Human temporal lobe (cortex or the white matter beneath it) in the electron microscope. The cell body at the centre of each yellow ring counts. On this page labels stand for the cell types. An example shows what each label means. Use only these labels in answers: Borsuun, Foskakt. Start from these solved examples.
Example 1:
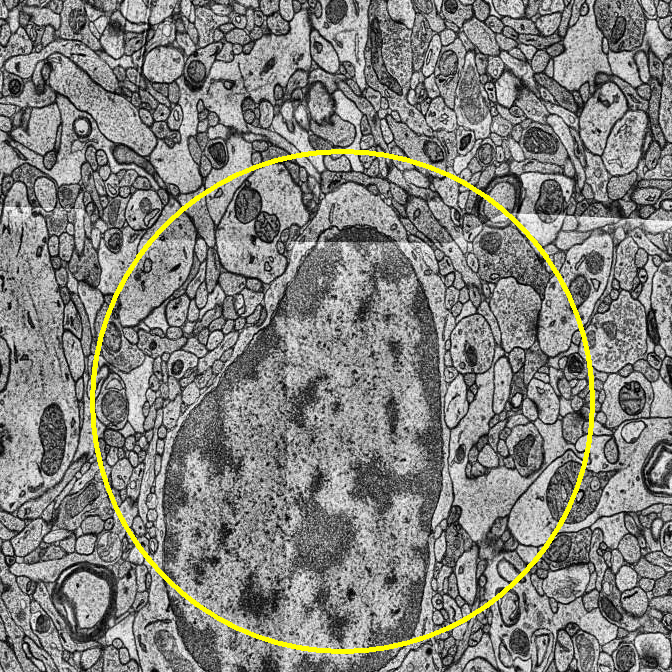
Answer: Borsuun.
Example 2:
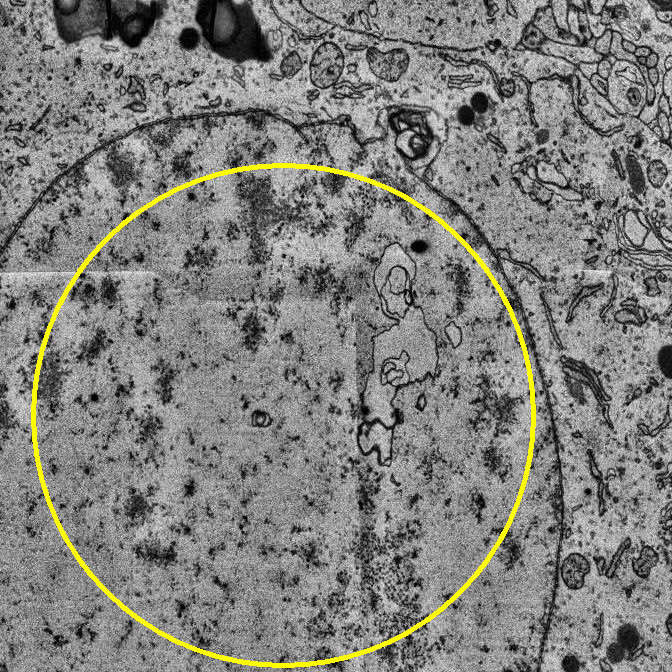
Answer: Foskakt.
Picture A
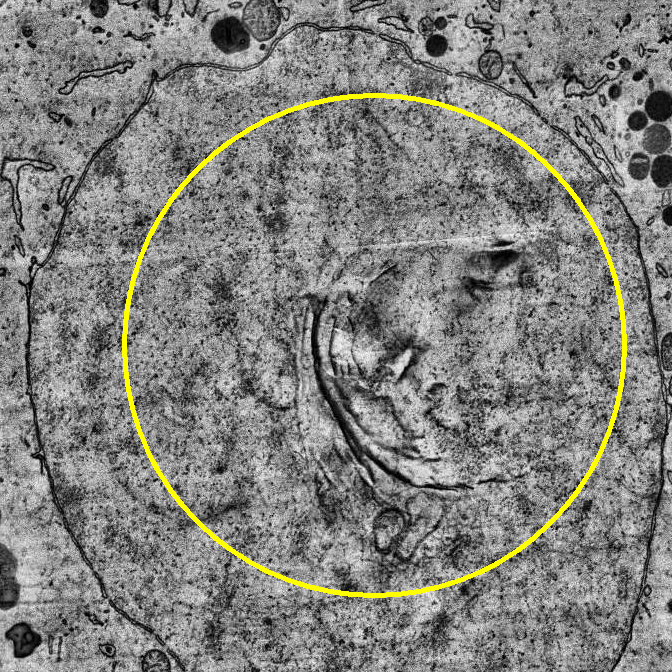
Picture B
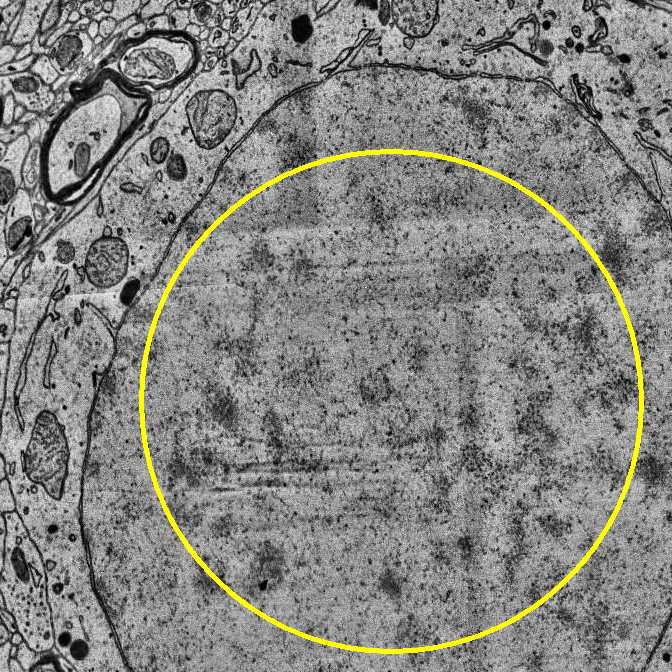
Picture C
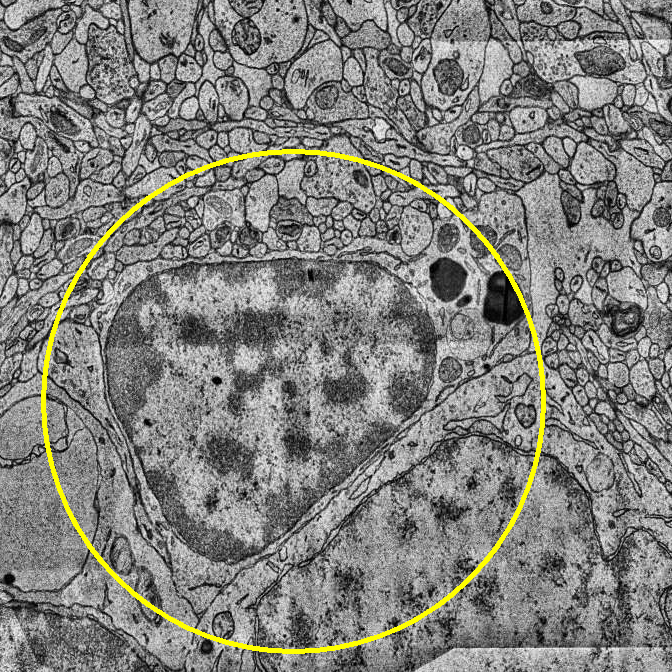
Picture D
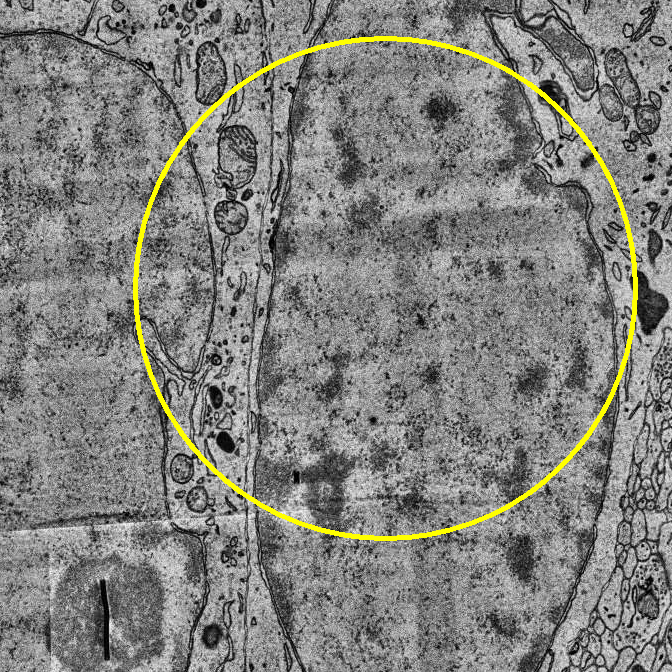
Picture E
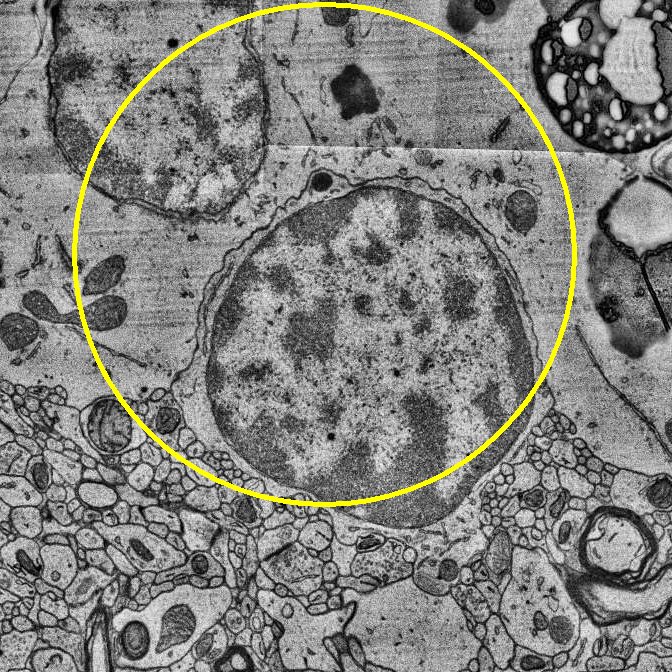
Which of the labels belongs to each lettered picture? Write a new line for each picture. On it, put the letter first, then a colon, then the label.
A: Foskakt.
B: Foskakt.
C: Borsuun.
D: Borsuun.
E: Borsuun.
